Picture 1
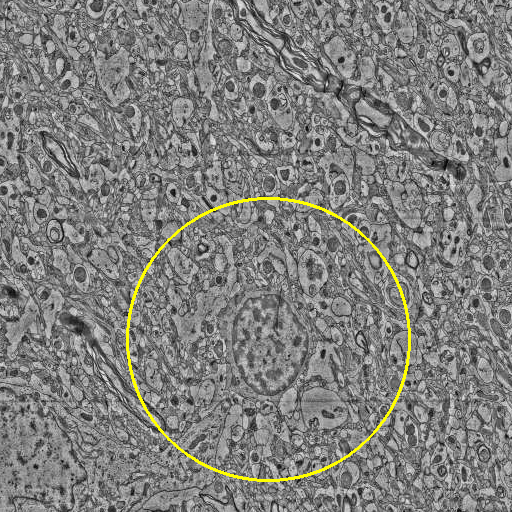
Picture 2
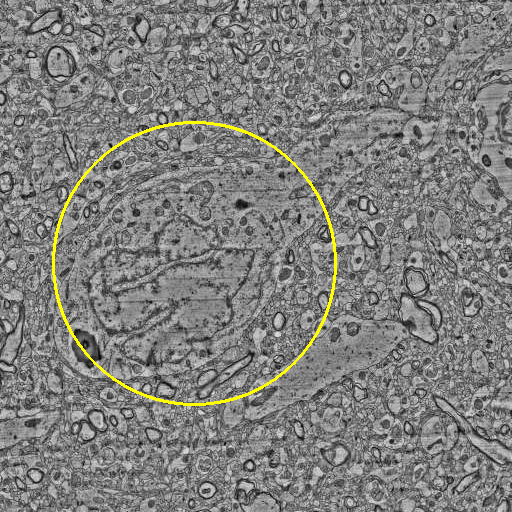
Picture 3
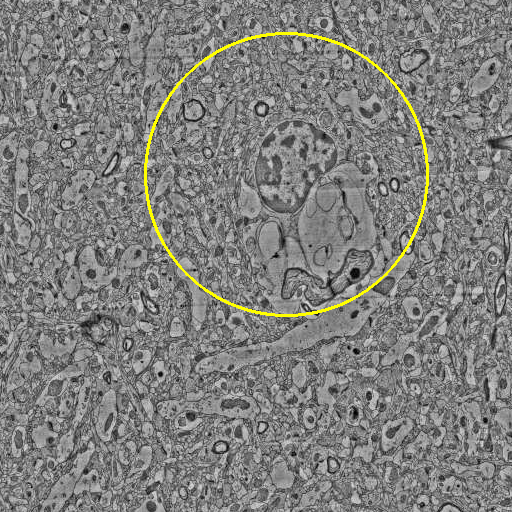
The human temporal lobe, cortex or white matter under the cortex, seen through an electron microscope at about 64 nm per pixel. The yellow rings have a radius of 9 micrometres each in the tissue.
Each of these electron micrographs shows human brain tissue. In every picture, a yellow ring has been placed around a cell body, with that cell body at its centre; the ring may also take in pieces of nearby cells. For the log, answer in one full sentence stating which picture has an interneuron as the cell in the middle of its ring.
In picture 2, the cell at the centre of the yellow ring is the requested one.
